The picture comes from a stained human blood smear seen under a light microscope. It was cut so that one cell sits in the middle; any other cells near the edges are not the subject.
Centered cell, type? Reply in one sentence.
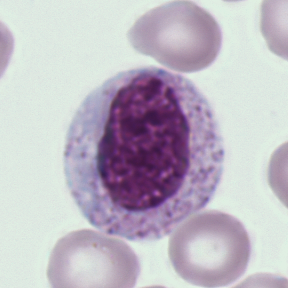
The single cell at the center of the crop is a metamyelocyte.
